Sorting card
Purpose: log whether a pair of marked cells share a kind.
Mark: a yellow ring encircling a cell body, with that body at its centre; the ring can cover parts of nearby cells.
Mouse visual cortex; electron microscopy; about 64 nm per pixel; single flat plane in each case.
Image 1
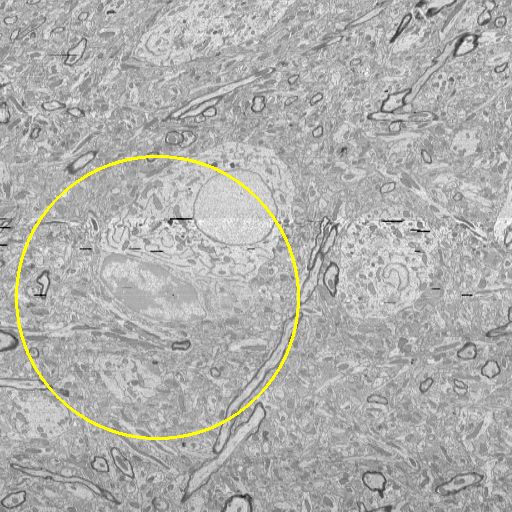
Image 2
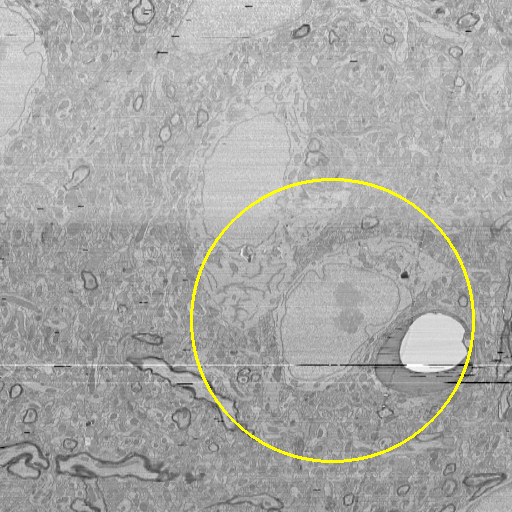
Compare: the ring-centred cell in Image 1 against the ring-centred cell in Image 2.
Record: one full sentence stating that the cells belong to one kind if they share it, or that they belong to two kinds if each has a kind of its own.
Across Images 1 and 2, the two ring-centred cells belong to two kinds.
